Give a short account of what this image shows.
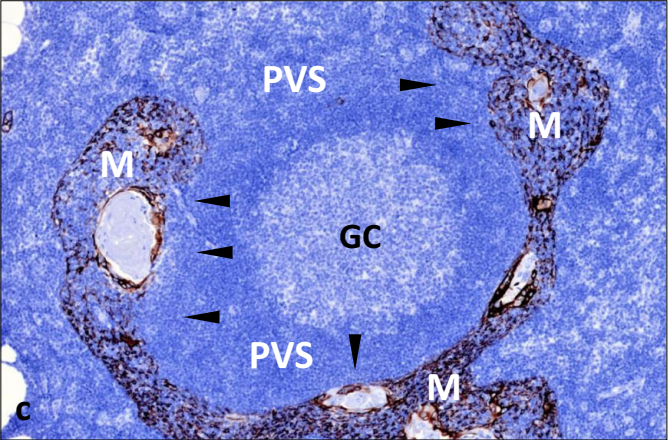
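This is thymus in which a large lymphoid follicle with a pale germinal centre sits in the middle of a widely enlarged perivascular space packed with blue-stained lymphocytes. The perivascular space itself contains no brown-stained epithelium. Around it, narrow brown-stained bands of medullary epithelium curve along the edge and wrap around several blood vessels. In places the brown band stops, leaving gaps where the lymphoid tissue meets the medulla directly.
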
